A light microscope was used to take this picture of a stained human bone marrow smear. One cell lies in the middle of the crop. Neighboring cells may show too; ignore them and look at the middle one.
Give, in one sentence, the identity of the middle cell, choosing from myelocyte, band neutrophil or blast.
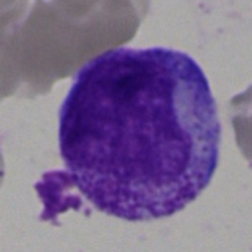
The cell found in the middle of this crop is a myelocyte.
